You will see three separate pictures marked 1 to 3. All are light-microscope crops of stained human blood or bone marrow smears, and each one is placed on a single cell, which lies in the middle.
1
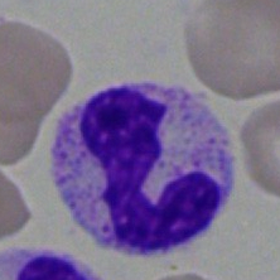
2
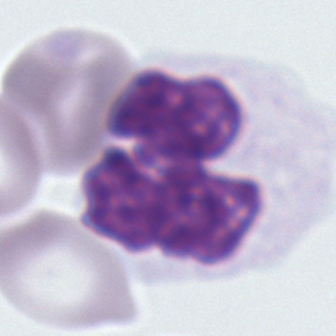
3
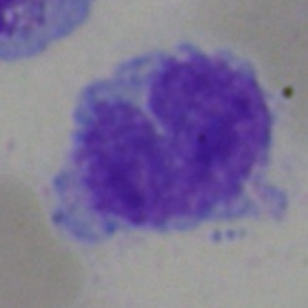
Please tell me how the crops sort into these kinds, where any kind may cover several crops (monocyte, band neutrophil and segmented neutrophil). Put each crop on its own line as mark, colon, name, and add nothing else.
1: band neutrophil
2: segmented neutrophil
3: monocyte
